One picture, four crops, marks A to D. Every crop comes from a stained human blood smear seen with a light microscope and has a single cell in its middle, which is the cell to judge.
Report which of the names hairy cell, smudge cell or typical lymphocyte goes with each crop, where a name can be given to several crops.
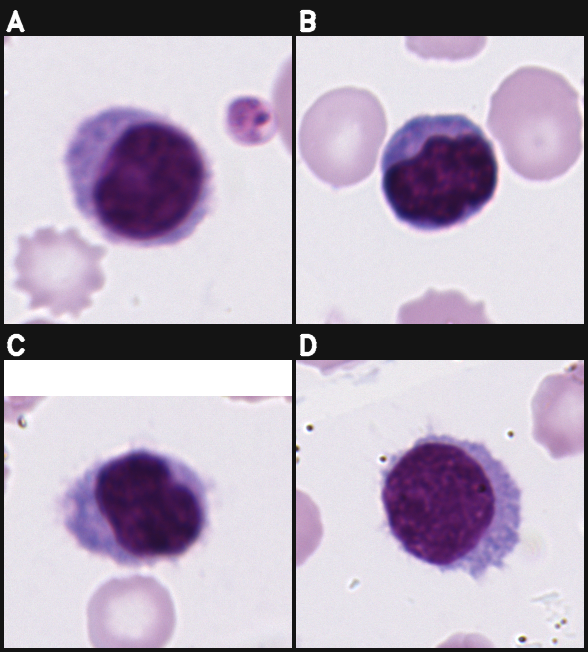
A: hairy cell
B: typical lymphocyte
C: hairy cell
D: hairy cell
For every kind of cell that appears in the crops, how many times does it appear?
hairy cell: 3
typical lymphocyte: 1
